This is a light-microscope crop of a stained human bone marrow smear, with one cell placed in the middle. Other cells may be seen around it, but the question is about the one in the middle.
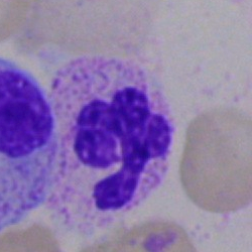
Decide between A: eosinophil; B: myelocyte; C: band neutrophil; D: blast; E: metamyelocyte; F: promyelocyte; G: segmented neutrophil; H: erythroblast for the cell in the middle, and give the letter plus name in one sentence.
What option G states is correct, the central cell being a segmented neutrophil.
